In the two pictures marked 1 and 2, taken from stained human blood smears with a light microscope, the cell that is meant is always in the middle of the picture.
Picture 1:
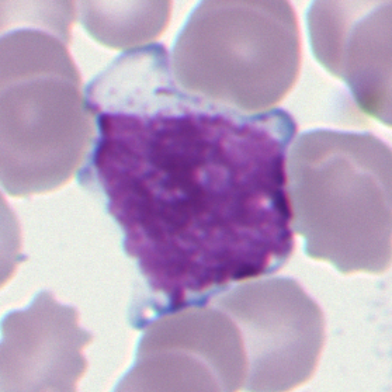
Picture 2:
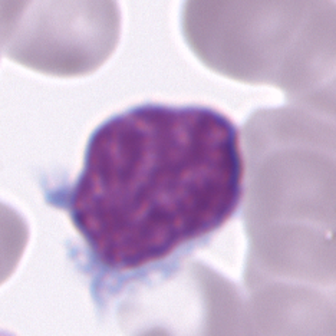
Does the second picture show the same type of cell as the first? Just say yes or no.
no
